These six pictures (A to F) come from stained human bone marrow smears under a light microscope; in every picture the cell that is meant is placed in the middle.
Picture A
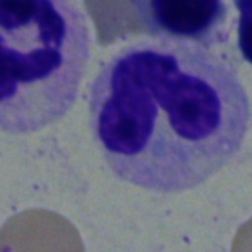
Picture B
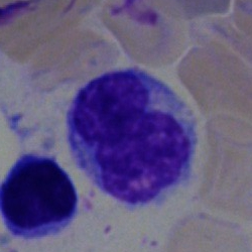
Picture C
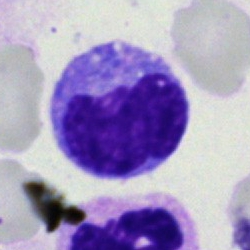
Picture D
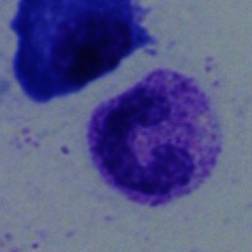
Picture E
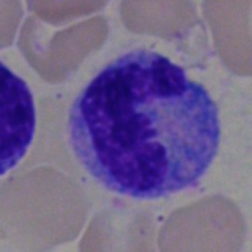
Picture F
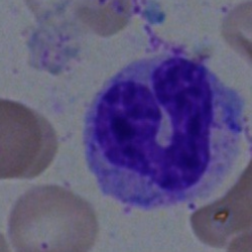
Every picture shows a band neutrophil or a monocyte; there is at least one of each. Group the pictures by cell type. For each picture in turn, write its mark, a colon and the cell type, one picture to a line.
A: band neutrophil
B: monocyte
C: monocyte
D: band neutrophil
E: monocyte
F: monocyte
